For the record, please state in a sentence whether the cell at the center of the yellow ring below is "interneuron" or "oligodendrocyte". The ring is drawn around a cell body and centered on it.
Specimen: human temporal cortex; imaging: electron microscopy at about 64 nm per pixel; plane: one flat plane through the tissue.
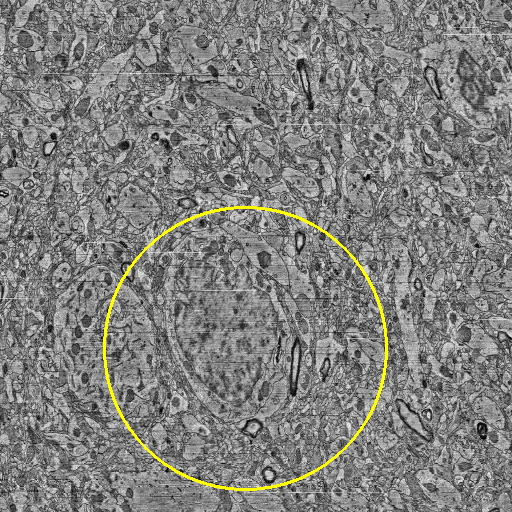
The cell at the ring's center is an interneuron.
